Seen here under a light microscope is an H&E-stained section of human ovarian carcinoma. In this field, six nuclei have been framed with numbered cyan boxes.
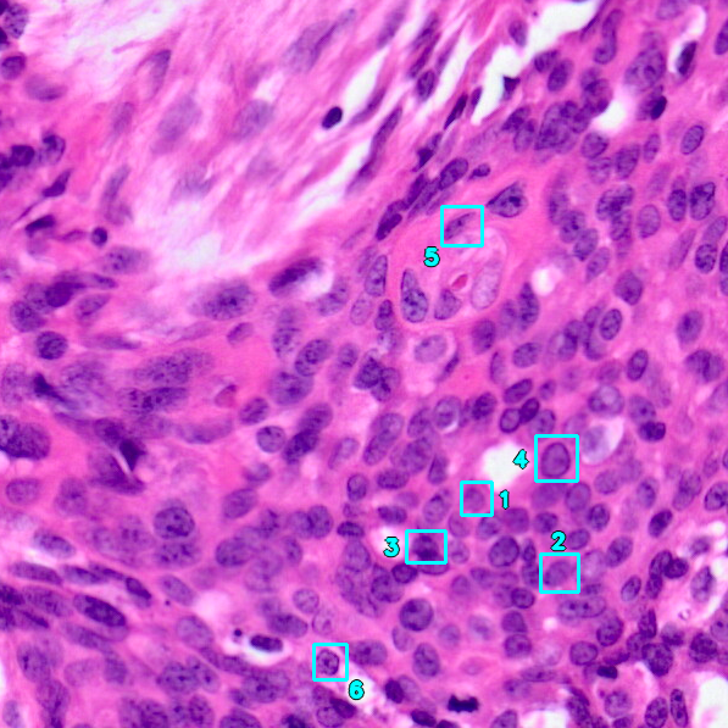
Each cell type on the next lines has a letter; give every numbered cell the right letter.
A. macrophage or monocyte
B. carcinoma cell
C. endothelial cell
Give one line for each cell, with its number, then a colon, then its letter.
1: B
2: B
3: B
4: B
5: C
6: A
